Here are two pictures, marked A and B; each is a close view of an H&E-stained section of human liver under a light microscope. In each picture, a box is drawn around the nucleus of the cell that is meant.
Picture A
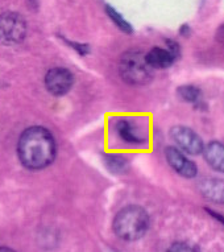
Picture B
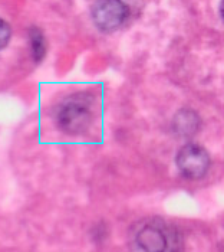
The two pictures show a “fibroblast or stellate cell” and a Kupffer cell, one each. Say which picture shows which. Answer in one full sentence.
The cell in picture A is a “fibroblast or stellate cell”, and the one in picture B is a Kupffer cell.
